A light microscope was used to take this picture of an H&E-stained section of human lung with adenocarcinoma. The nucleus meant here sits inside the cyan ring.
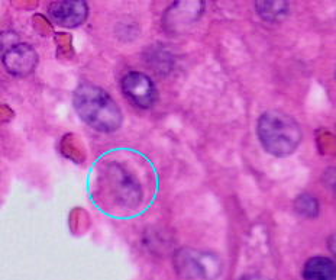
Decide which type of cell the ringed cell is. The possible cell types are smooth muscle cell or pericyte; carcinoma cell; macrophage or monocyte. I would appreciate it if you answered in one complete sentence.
Cell type answer for this item: the ringed cell is a macrophage or monocyte.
